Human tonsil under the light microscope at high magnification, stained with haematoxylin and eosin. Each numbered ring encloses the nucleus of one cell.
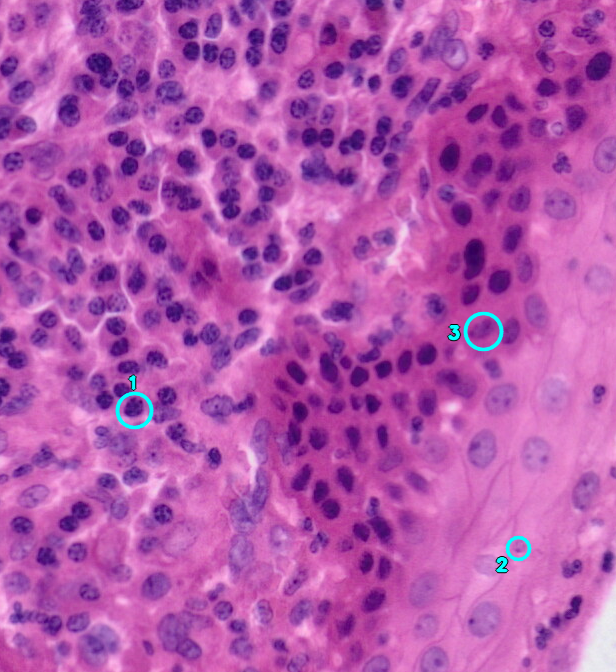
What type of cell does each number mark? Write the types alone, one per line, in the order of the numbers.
plasma cell
squamous epithelial cell
squamous epithelial cell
